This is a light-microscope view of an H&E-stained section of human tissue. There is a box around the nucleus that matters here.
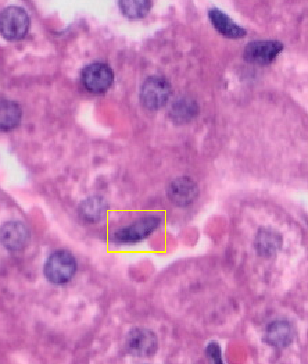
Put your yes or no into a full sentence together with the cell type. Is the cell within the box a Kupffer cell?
Yes, the claim that the cell within the box is a Kupffer cell holds true.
